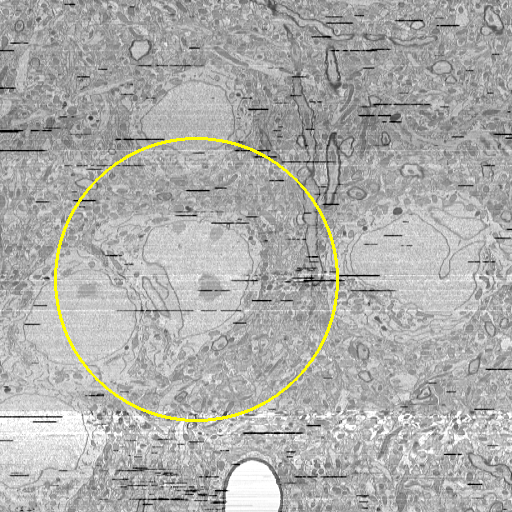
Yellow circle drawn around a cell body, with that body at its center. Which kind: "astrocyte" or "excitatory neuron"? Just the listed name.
excitatory neuron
